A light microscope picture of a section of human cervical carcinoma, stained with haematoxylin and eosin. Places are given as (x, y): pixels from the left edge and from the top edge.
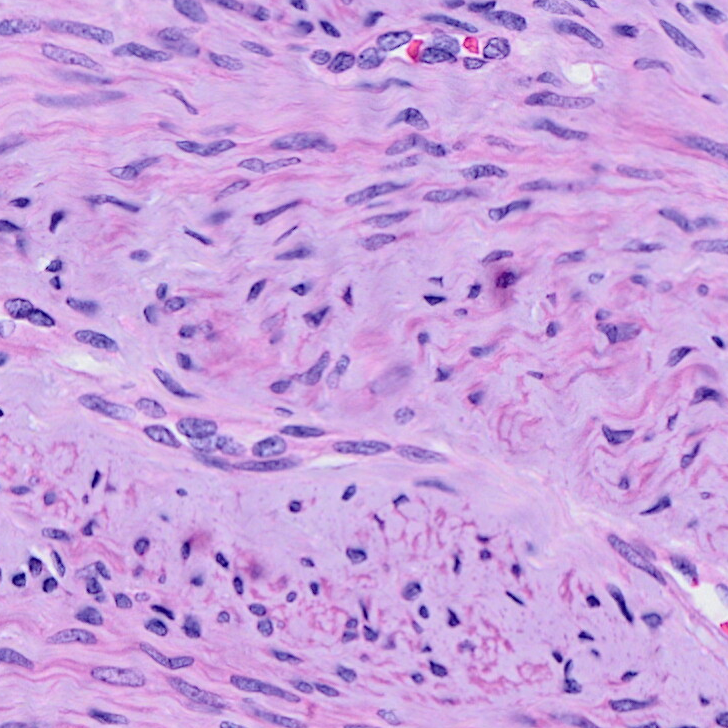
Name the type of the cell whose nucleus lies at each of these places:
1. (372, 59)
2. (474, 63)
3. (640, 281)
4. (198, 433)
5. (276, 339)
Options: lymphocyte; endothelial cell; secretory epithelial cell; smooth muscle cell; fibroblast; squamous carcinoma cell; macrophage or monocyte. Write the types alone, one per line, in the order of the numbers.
endothelial cell
endothelial cell
smooth muscle cell
endothelial cell
smooth muscle cell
